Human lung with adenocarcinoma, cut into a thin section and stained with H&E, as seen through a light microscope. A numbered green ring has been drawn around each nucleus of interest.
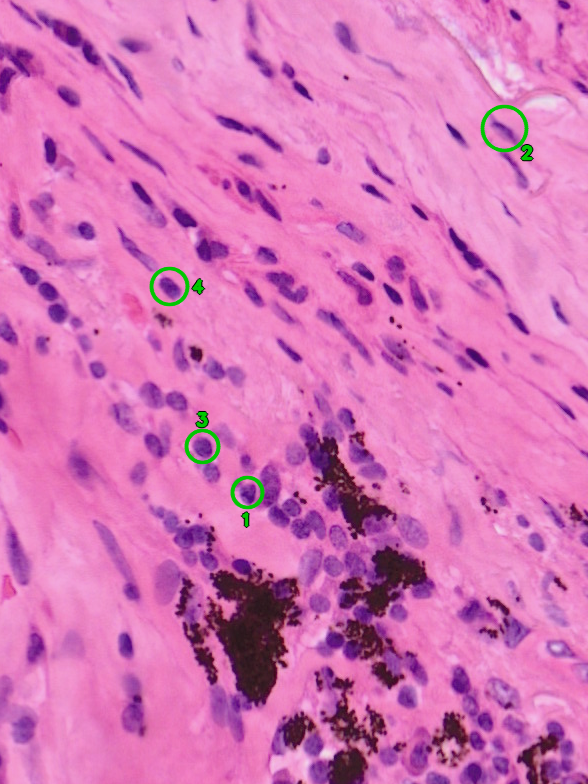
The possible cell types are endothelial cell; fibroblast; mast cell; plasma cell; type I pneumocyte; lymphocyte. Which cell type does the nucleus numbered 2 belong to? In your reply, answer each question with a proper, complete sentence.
At number 2, the marked cell is a fibroblast.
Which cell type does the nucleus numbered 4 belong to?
The one labeled 4 is a lymphocyte, to put it simply.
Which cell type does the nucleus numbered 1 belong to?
The nucleus with number 1 is that of a lymphocyte.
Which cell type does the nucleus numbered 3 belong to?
The cell identified by number 3 is a lymphocyte.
